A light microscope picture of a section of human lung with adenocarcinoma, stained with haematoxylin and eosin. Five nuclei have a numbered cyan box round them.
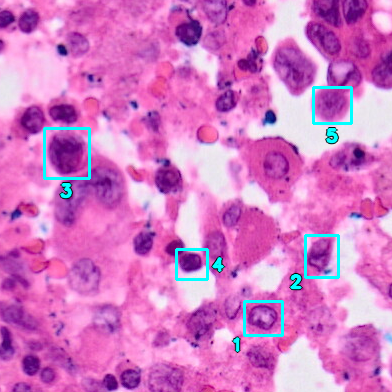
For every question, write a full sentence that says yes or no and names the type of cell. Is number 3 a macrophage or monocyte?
No, number 3 belongs to a carcinoma cell, not to a macrophage or monocyte.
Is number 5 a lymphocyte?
No, the cell referred to as 5 is a carcinoma cell, not a lymphocyte.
